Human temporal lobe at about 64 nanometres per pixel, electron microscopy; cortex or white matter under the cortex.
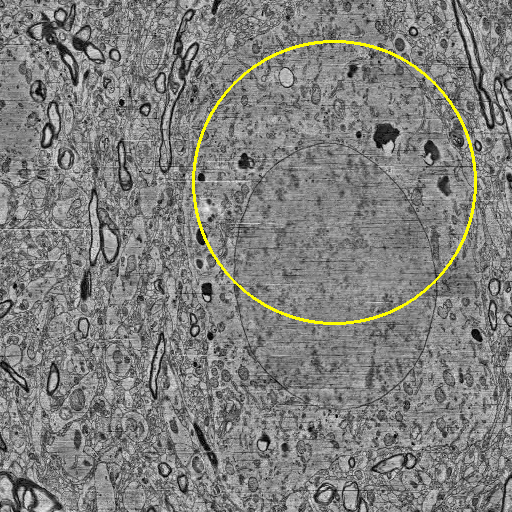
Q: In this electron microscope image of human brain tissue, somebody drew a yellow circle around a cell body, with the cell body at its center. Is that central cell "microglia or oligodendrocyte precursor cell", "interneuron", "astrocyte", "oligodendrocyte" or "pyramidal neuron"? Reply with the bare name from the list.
pyramidal neuron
